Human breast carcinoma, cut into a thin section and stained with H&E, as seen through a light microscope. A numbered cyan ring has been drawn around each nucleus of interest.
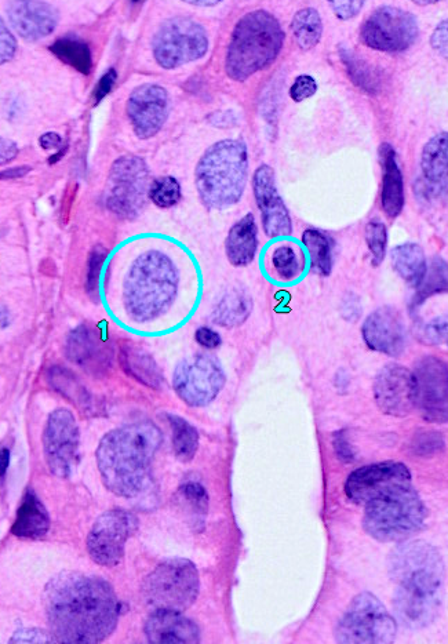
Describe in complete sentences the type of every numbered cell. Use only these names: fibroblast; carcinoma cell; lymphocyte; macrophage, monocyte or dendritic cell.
Cell 1 is a carcinoma cell and cell 2 is a lymphocyte.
